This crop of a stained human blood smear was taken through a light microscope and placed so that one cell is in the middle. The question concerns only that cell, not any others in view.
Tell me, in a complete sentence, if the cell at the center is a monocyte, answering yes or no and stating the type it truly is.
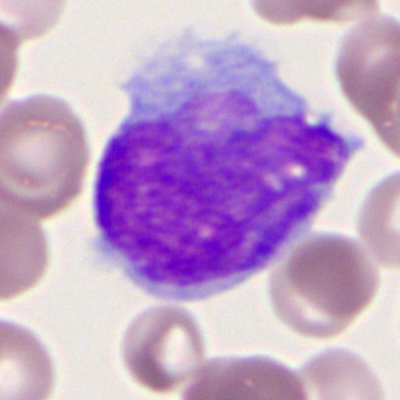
Yes, the cell in the centre is a monocyte.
